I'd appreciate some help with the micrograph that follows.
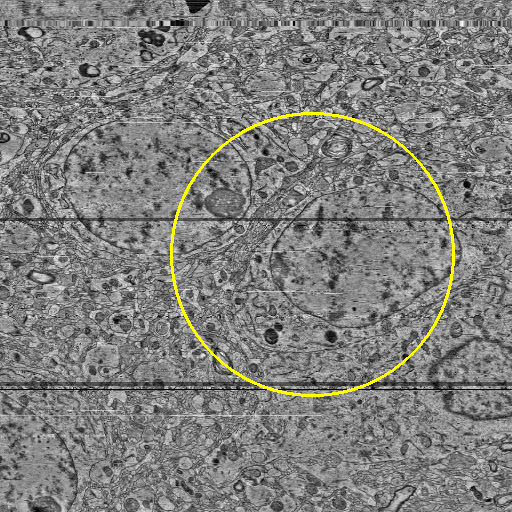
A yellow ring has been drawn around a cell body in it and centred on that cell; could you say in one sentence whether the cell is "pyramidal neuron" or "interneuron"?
It is a pyramidal neuron at the centre of the ring.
